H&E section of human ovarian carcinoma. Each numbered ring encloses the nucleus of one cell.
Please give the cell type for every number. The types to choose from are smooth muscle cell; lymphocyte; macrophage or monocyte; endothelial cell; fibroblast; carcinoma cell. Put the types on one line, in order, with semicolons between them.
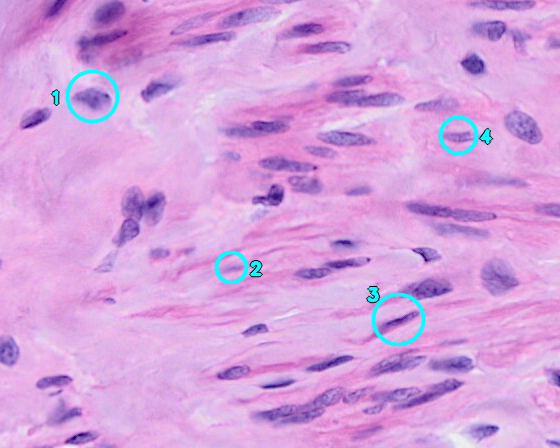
fibroblast; smooth muscle cell; smooth muscle cell; smooth muscle cell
